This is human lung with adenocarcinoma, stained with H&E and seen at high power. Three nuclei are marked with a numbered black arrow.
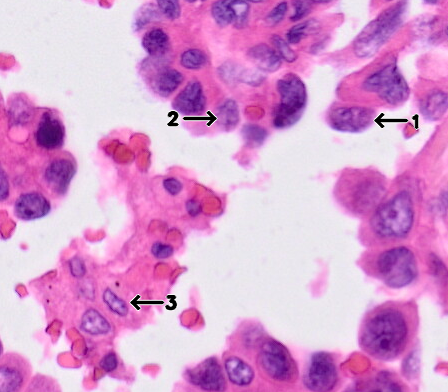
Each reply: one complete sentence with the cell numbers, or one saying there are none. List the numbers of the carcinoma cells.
Cells numbered 1 and 2 belong to the group of carcinoma cells.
